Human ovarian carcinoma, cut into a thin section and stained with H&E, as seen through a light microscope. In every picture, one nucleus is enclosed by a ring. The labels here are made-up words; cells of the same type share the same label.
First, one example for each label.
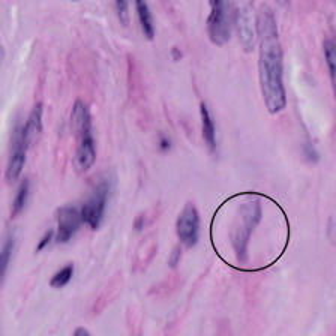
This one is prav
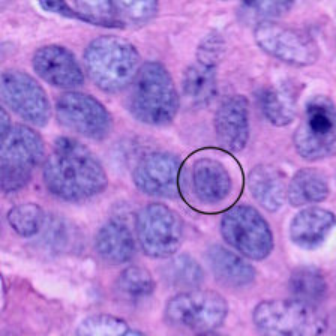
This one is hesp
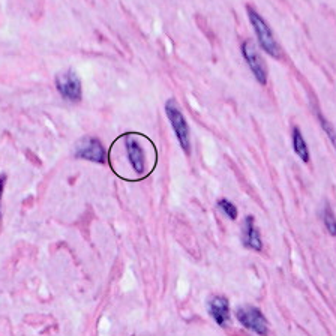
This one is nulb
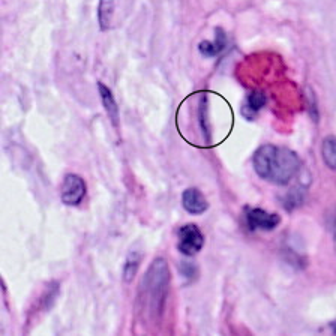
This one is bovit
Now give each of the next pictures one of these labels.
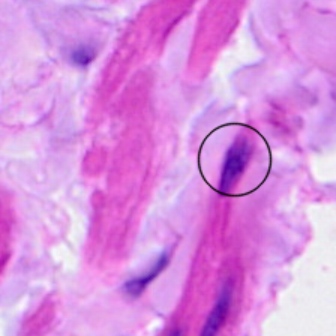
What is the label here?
prav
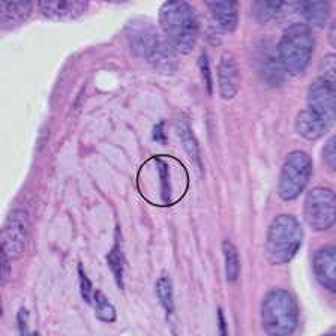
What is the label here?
nulb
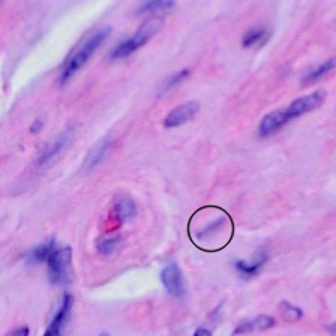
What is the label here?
prav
